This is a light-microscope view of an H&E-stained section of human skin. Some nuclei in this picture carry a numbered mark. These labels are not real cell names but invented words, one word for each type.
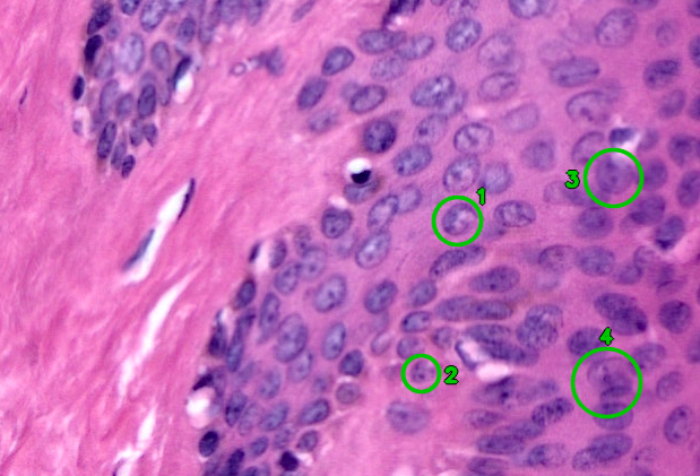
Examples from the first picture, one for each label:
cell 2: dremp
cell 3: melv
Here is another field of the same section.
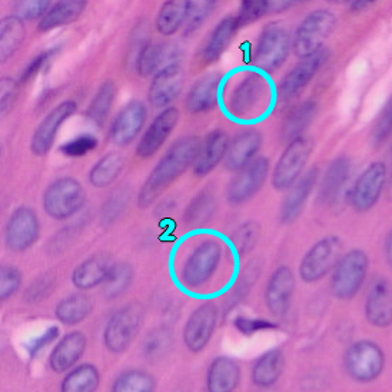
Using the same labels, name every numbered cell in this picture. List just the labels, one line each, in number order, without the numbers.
dremp
melv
